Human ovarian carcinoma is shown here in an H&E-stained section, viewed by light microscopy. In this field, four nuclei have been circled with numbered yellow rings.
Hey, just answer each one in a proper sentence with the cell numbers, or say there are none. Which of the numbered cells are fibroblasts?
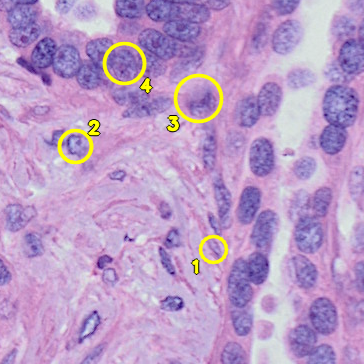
The identity of cells 1, 2 and 3: they are fibroblasts.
